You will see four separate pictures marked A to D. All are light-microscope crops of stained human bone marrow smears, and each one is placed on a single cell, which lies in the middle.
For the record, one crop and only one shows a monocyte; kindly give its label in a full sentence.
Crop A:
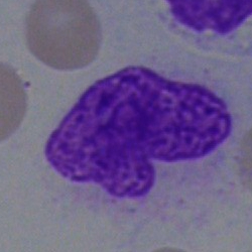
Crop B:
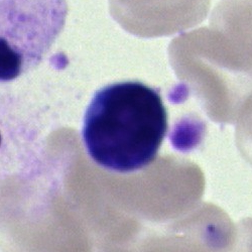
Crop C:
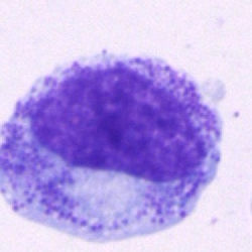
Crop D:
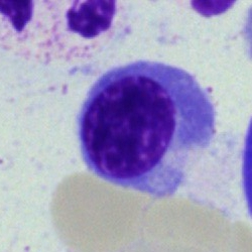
The one crop that shows a monocyte is crop A.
